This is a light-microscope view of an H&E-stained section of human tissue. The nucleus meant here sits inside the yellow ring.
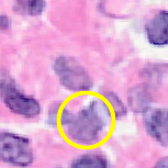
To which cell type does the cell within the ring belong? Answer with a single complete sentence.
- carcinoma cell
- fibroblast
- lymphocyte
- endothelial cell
By its classification, the cell within the ring is a carcinoma cell.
